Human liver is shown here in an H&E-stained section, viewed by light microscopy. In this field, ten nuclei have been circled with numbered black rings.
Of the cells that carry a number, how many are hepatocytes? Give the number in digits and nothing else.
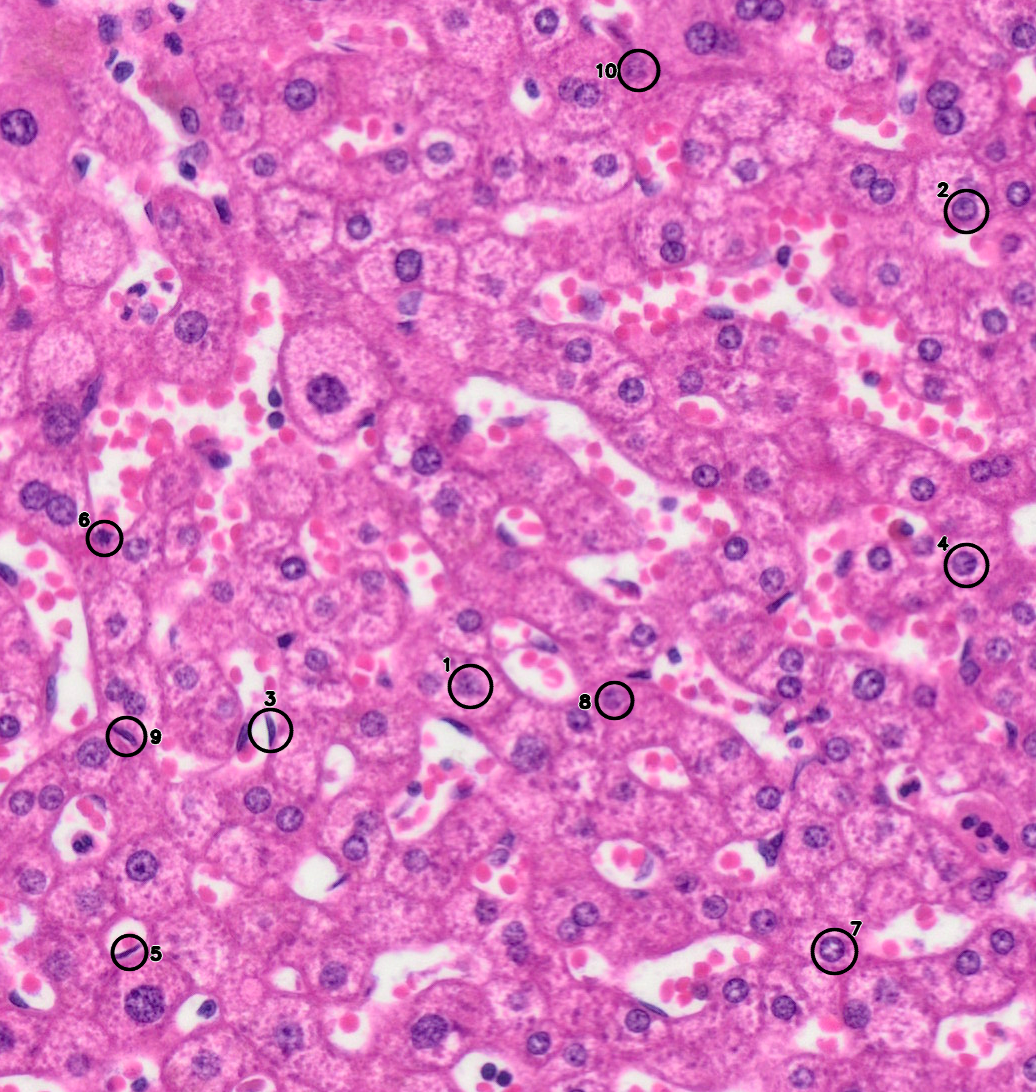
6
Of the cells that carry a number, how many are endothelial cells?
2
